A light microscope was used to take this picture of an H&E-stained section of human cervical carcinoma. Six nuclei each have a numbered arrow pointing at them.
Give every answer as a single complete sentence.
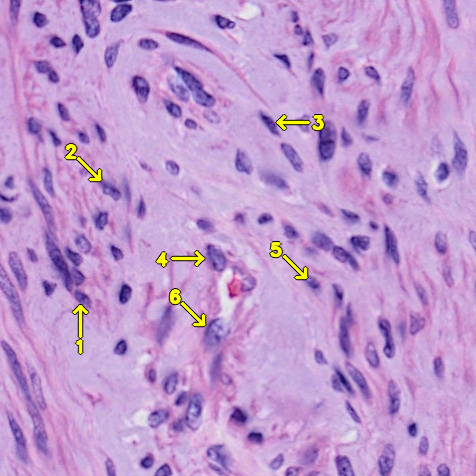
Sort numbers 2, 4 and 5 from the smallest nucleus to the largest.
By area, going up from the smallest, they rank 5, 2, 4.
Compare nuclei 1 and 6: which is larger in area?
Nucleus 6 is larger, with an area about 4 times that of nucleus 1.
